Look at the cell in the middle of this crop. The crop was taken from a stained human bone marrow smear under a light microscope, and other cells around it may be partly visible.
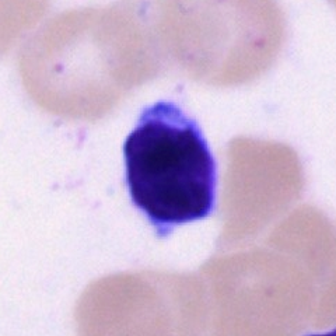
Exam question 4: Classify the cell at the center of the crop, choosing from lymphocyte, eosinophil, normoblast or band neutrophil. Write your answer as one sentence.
In the crop, the cell of interest at the centre is a lymphocyte.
